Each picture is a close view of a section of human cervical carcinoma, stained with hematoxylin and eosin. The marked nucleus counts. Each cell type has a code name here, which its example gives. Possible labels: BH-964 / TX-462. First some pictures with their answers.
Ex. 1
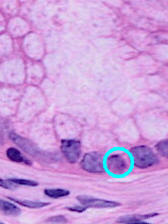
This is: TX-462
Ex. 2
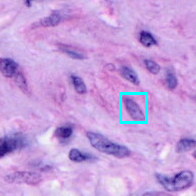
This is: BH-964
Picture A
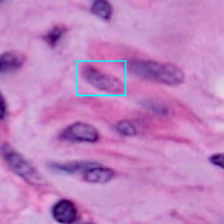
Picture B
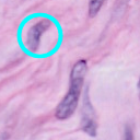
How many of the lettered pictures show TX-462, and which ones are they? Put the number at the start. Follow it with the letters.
0, none of them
